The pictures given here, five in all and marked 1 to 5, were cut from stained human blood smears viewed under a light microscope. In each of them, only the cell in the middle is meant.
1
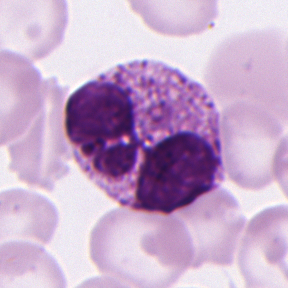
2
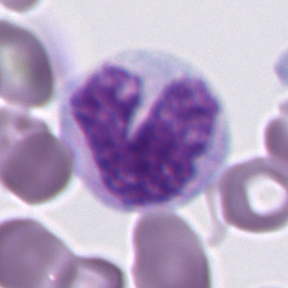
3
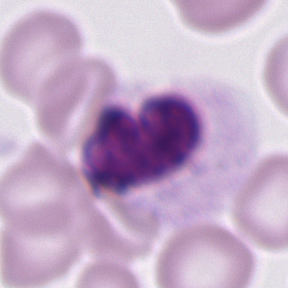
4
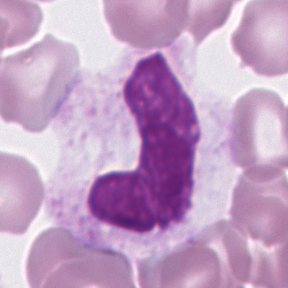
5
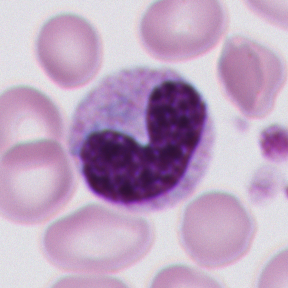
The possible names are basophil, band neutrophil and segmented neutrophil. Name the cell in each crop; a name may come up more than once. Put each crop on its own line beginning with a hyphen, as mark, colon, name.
- 1: basophil
- 2: band neutrophil
- 3: segmented neutrophil
- 4: band neutrophil
- 5: band neutrophil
